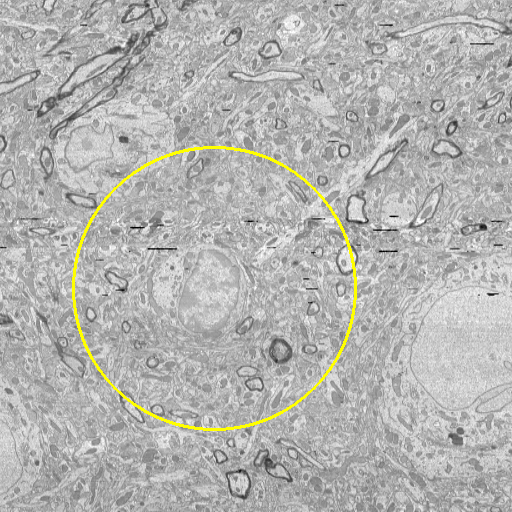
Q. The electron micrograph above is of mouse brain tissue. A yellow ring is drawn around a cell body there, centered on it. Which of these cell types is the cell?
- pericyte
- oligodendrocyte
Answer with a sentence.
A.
The cell under the ring's center is an oligodendrocyte.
